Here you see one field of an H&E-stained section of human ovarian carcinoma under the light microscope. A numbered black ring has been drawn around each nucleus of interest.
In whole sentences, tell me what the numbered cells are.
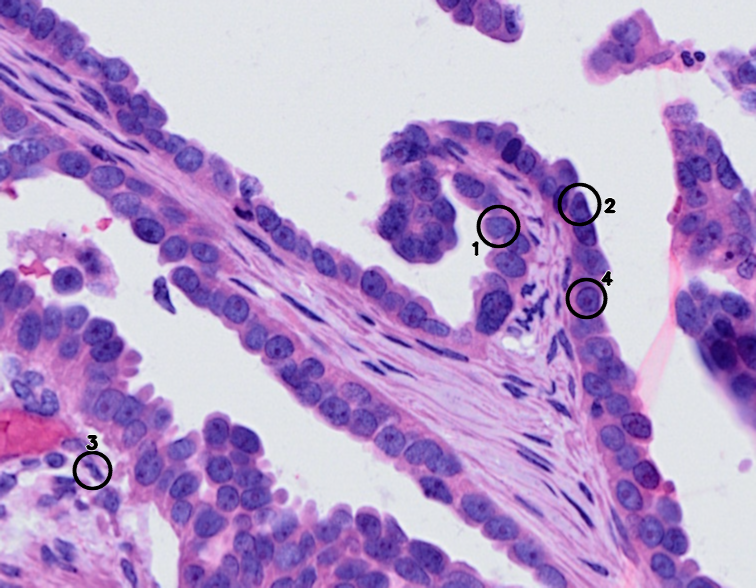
Cells 1, 2 and 4 are carcinoma cells. Cell 3 is a fibroblast.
